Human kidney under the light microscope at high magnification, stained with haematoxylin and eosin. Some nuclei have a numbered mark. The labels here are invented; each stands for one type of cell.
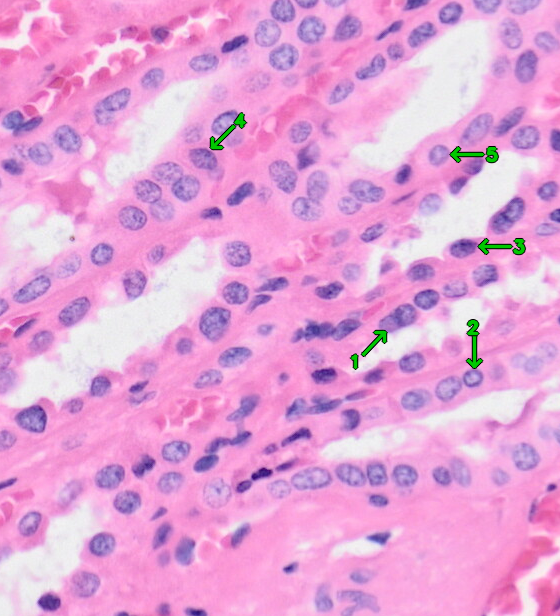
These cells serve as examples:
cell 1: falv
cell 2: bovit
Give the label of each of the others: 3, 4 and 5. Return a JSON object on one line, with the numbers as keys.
{"3": "falv", "4": "bovit", "5": "bovit"}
